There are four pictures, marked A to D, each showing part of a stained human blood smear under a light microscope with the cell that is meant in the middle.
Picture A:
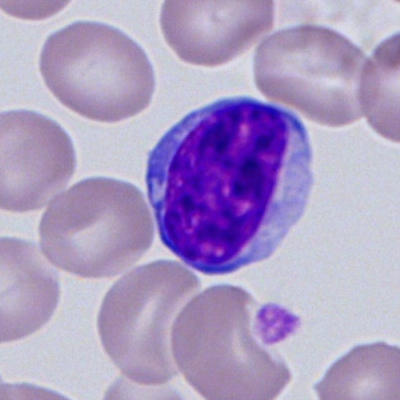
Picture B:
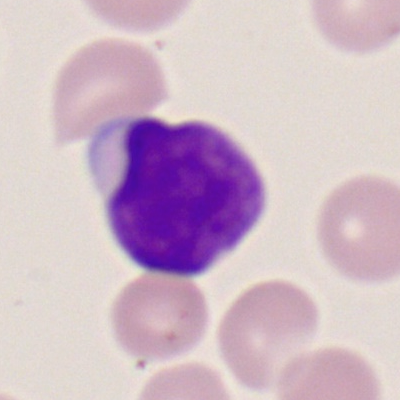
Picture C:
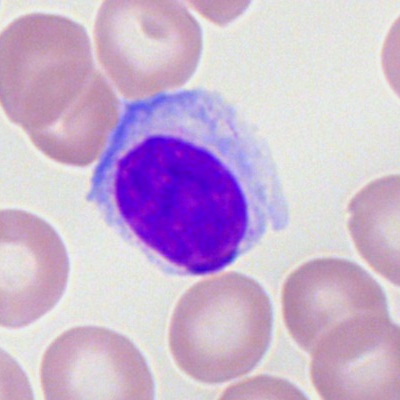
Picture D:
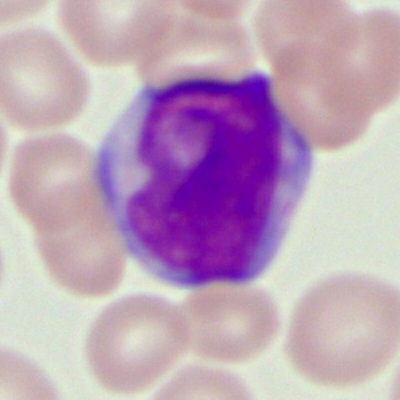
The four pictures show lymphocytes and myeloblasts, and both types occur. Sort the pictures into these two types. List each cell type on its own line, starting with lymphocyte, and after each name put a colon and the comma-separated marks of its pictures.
lymphocyte: A, C
myeloblast: B, D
